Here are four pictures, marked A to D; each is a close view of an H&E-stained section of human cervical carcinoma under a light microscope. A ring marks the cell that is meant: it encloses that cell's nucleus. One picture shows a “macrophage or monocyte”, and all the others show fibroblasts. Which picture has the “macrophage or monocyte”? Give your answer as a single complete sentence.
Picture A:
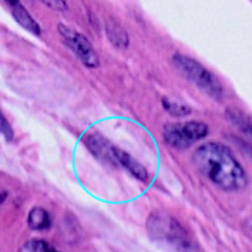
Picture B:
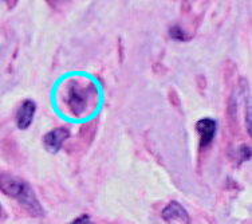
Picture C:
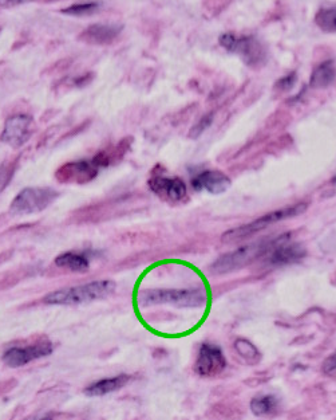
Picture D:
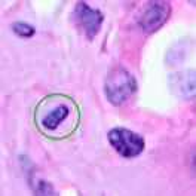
It is picture B that shows the “macrophage or monocyte”.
